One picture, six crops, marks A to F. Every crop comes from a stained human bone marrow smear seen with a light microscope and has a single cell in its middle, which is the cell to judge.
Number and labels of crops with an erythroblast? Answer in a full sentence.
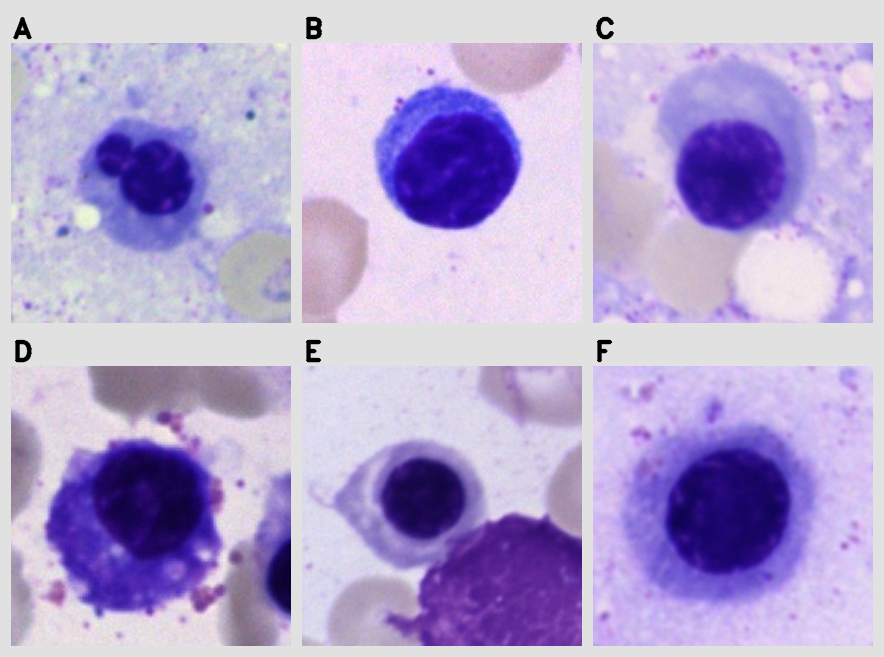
In this group, four crops have erythroblasts: A, C, E and F.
